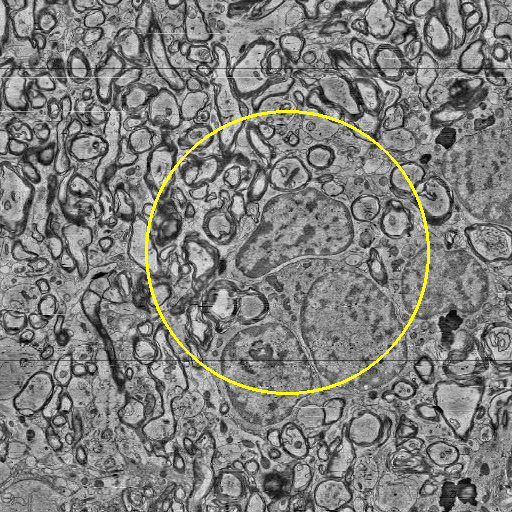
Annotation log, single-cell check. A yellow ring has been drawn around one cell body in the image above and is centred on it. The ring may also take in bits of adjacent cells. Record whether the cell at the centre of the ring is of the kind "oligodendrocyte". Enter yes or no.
no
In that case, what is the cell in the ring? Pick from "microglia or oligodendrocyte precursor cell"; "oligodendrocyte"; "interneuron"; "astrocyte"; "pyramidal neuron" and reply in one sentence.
The ring holds a microglial cell or oligodendrocyte precursor cell at its centre.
